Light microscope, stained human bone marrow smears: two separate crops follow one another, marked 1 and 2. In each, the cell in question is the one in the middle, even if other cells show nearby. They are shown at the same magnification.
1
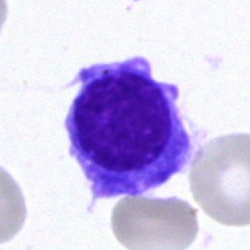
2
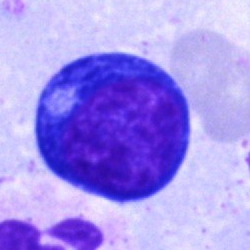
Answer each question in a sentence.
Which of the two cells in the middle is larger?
Larger is the cell in crop 2, at roughly 1.5 times the area of the other.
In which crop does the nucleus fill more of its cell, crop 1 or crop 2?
In crop 2 the nucleus takes up the larger part of its cell.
